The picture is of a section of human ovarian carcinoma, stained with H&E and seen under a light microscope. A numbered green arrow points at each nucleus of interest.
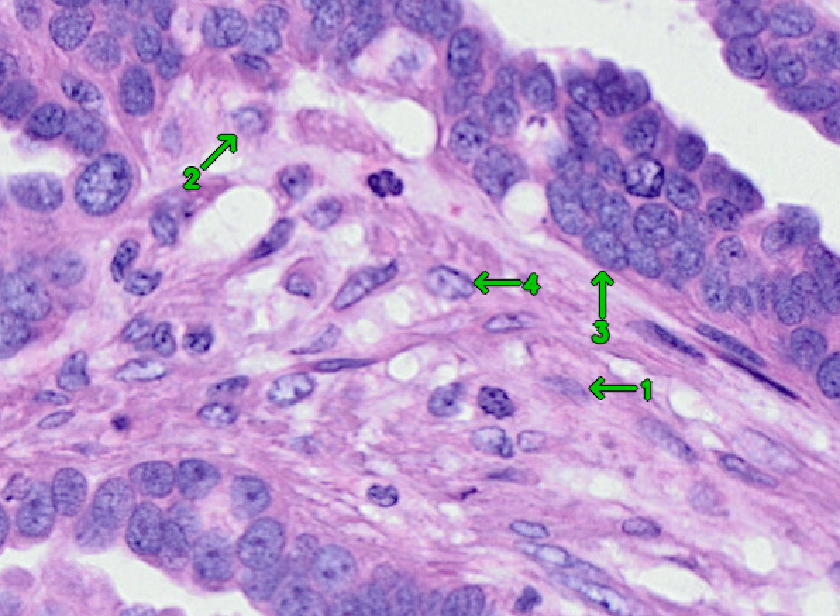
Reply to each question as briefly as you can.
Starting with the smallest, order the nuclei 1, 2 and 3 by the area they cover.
1, 2, 3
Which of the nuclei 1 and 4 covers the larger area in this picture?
4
